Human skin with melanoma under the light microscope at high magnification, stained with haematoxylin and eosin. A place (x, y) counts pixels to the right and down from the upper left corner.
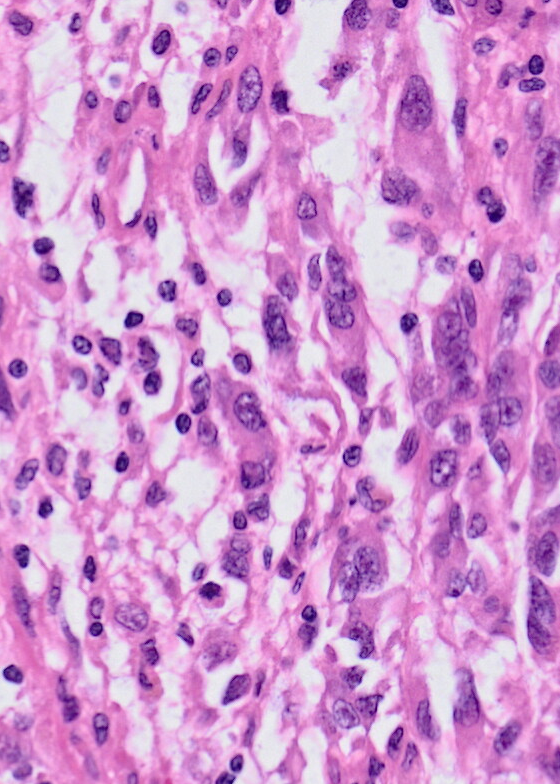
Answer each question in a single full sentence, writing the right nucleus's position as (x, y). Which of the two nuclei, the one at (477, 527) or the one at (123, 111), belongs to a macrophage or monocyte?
Lying within a macrophage or monocyte is the nucleus at (123, 111).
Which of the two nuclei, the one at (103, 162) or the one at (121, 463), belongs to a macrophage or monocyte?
Of the two nuclei present, the one at (103, 162) is within a macrophage or monocyte.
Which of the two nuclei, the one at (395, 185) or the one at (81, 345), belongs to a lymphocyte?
Of the two nuclei, the one at (81, 345) belongs to a lymphocyte.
